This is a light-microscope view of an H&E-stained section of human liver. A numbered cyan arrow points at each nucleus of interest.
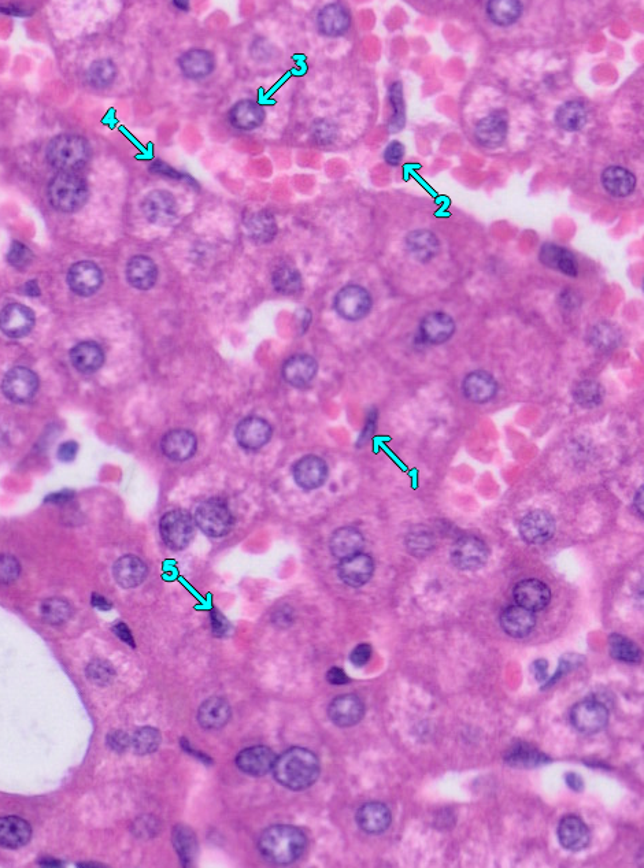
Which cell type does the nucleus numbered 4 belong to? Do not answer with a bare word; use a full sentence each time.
The cell identified by the number 4 is a fibroblast or stellate cell.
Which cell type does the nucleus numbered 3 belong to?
Identified as a hepatocyte is the cell bearing the number 3.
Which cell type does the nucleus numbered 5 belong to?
Number 5 among the marked cells is an endothelial cell.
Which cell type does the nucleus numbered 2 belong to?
The marked cell bearing number 2 is a lymphocyte.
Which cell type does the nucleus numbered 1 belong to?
The cell with the number 1 is an endothelial cell.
